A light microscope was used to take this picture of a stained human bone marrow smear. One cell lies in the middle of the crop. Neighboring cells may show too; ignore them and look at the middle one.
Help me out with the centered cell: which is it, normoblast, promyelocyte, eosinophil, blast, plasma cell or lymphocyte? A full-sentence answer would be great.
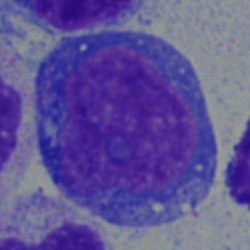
The cell of interest, in the center, is a blast.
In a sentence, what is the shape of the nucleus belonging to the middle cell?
Have a look at the nucleus, which is one compact mass, round, oval or kidney-shaped.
